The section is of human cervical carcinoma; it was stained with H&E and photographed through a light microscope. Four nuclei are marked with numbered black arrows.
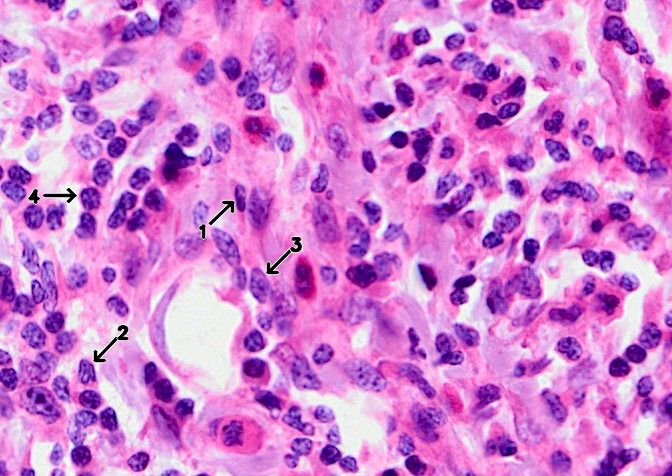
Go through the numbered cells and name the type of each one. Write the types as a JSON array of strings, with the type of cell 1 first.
["lymphocyte", "lymphocyte", "macrophage or monocyte", "lymphocyte"]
